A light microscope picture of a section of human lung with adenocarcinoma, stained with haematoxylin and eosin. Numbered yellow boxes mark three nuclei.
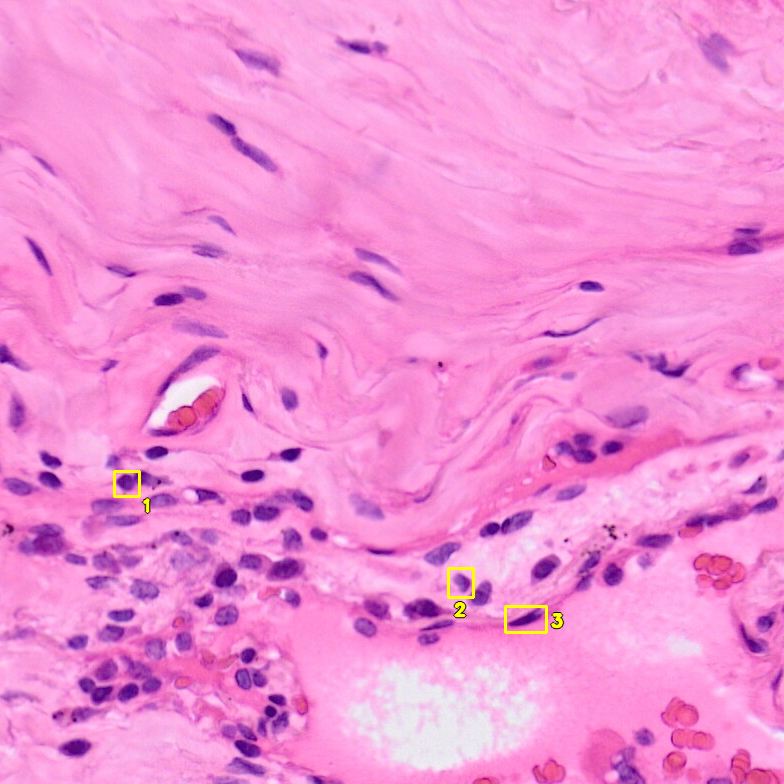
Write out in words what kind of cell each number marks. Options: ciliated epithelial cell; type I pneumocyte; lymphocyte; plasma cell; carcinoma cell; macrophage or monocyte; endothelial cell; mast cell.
Cells 1 and 2 are lymphocytes. Cell 3 is an endothelial cell.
